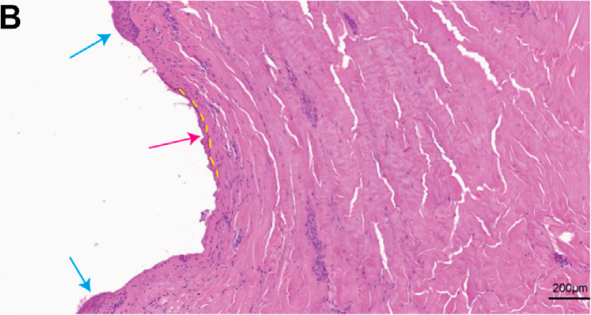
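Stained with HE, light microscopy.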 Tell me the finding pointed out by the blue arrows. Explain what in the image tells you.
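The purple surface cell layer is present only at the top and bottom ends of the surface. Between the arrows the surface is exposed pink fibrous tissue without a continuous covering layer. So: epidermal layer was disrupted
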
